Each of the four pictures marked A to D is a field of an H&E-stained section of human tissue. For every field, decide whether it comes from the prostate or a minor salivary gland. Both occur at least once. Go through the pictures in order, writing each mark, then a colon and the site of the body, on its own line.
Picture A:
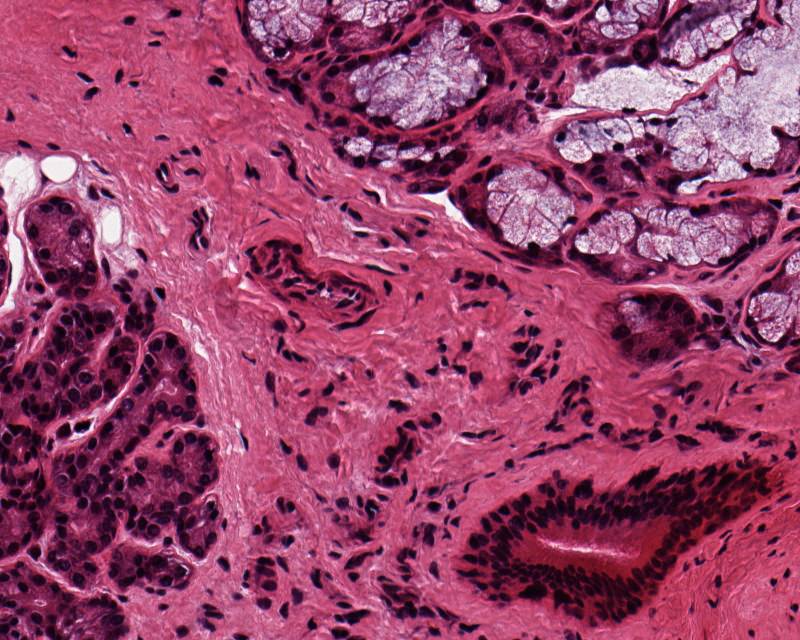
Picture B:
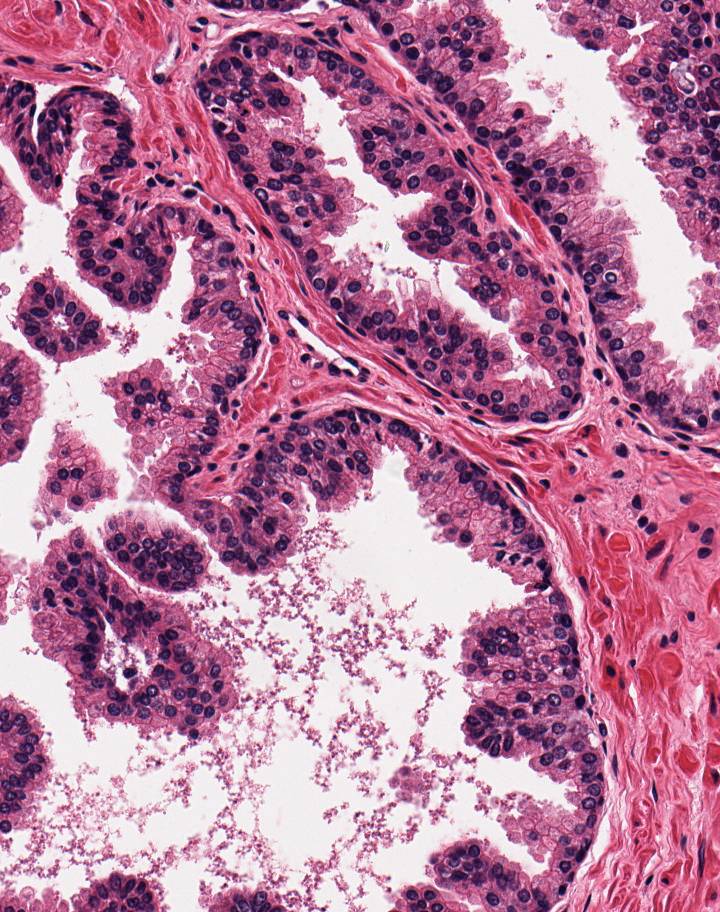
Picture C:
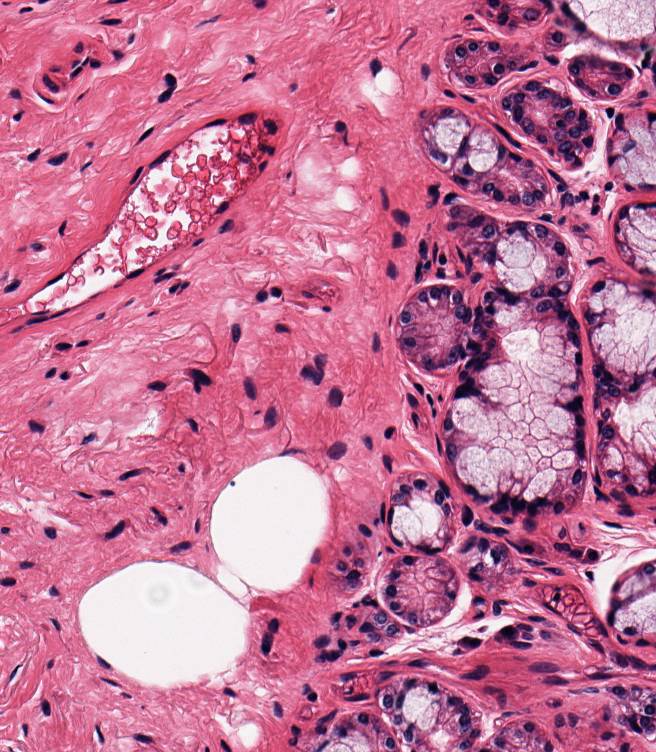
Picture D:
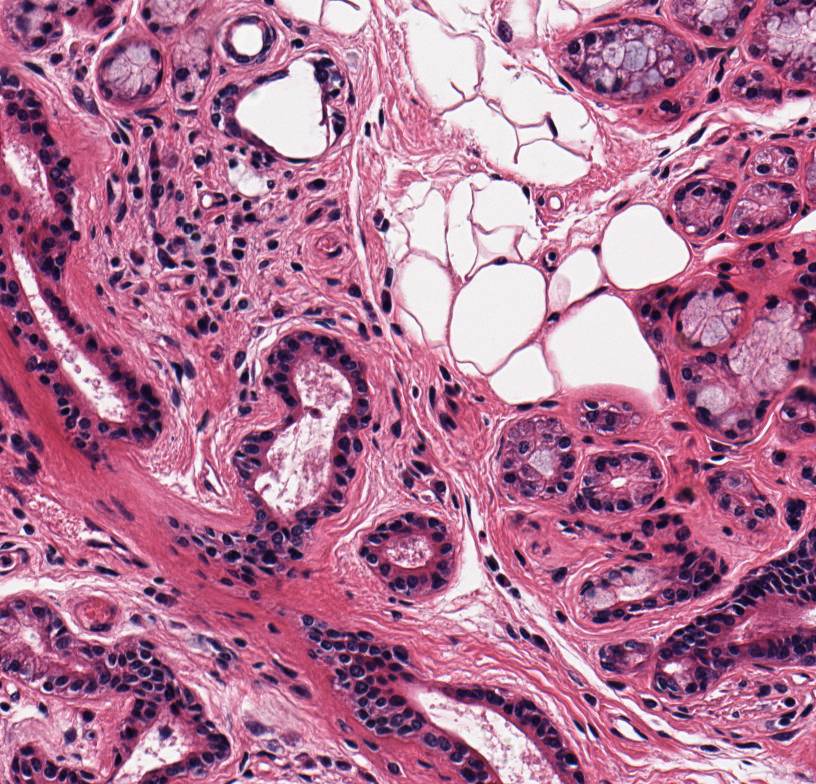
A: minor salivary gland
B: prostate
C: minor salivary gland
D: minor salivary gland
